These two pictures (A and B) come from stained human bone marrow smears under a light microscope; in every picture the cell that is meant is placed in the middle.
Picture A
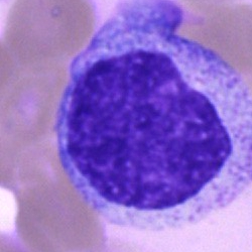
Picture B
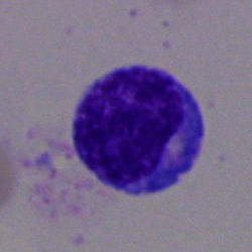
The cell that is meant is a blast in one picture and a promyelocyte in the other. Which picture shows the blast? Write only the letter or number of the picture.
B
